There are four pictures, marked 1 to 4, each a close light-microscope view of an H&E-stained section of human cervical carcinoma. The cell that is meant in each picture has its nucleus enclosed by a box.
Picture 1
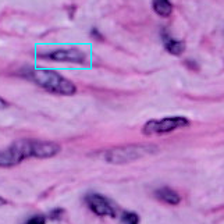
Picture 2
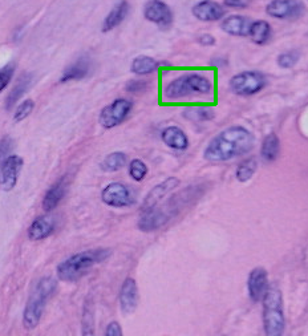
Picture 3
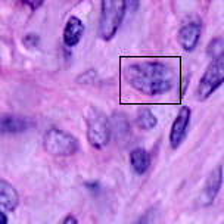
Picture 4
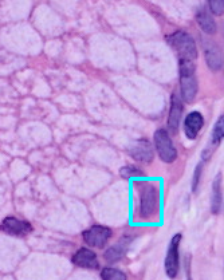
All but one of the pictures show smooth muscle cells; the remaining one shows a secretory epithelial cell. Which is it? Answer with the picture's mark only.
4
